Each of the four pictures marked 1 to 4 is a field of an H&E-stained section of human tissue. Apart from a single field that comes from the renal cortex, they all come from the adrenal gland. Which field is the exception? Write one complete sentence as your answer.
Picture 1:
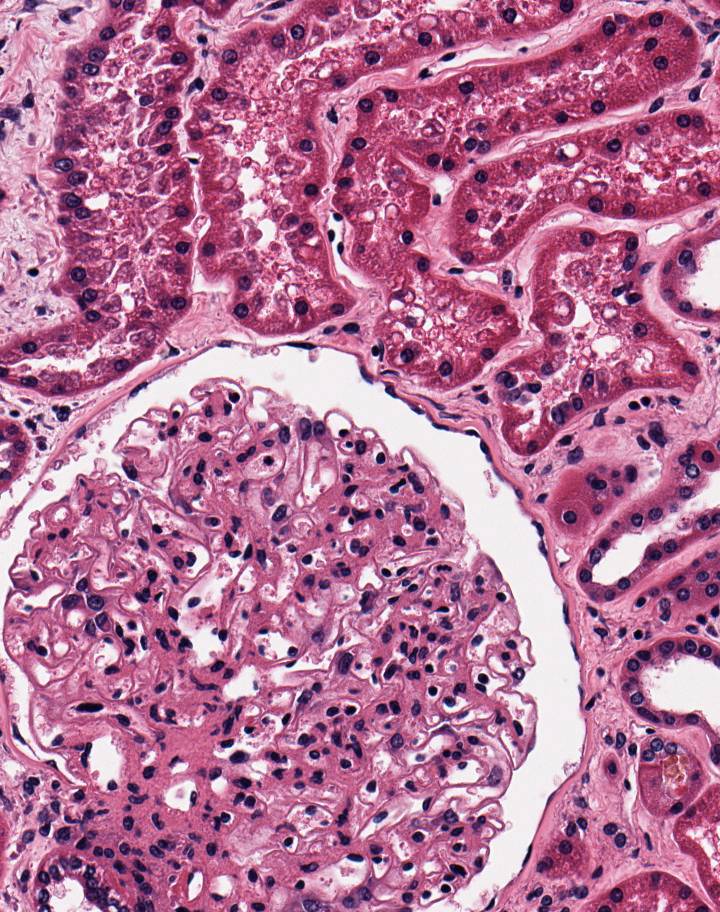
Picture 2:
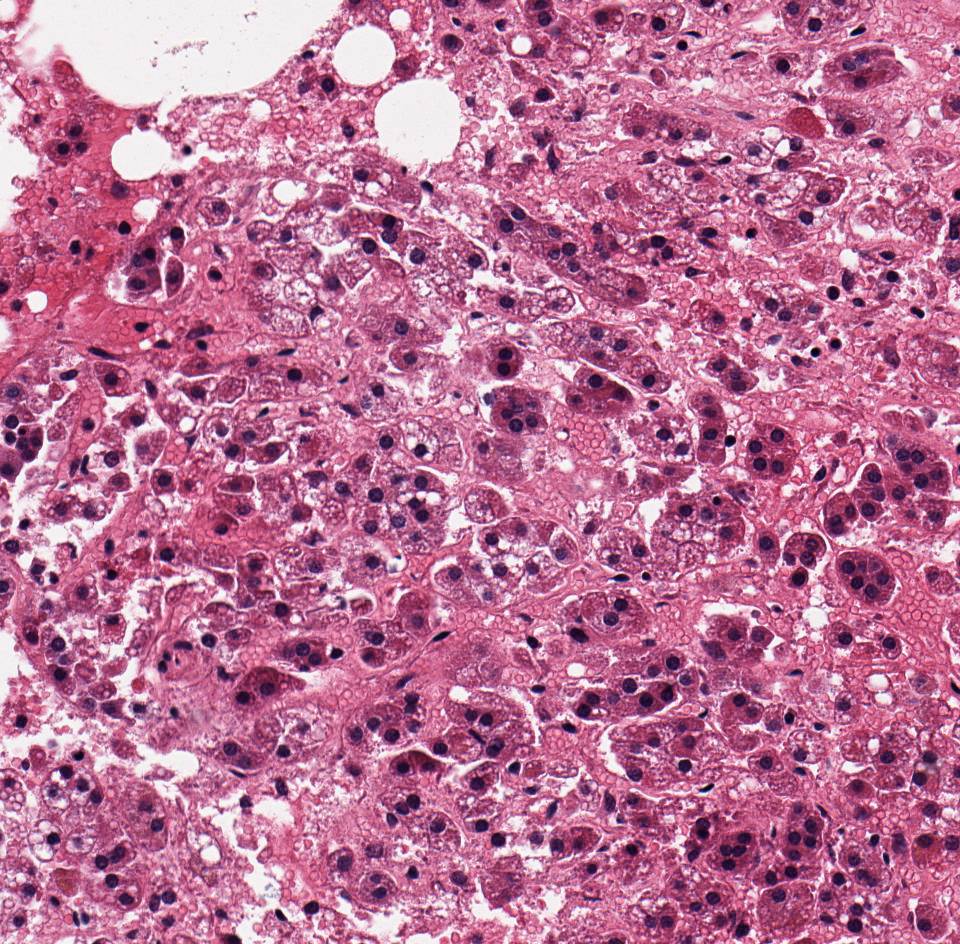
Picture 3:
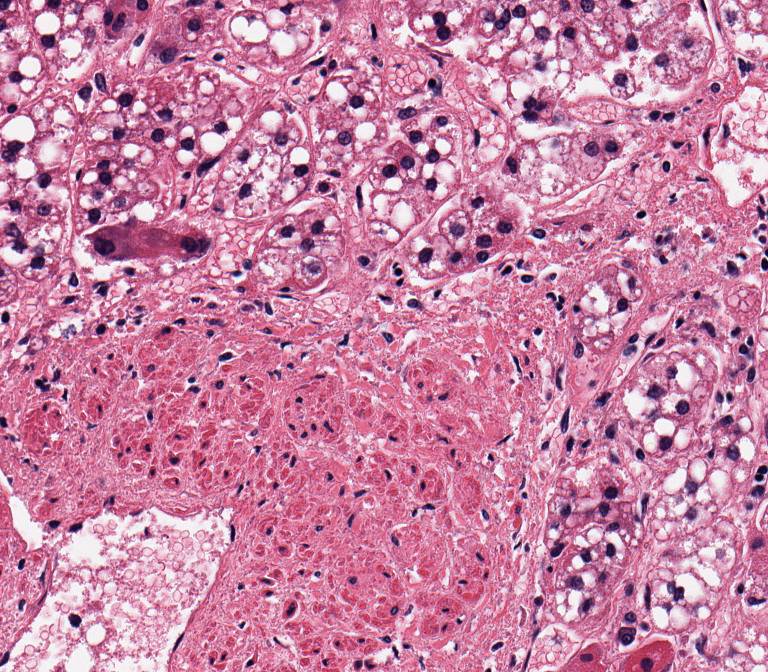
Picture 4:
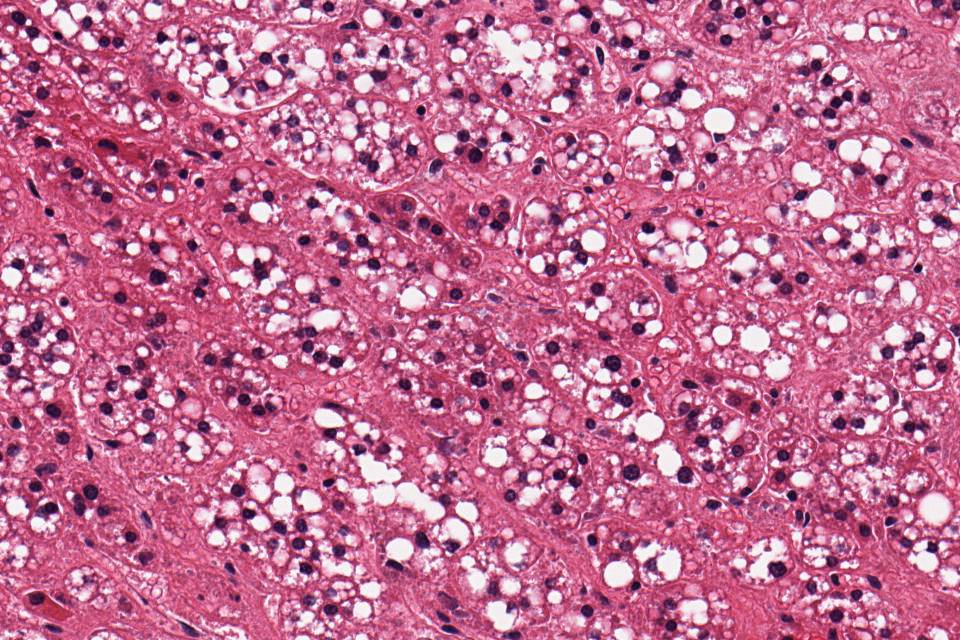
Picture 1 is the field that comes from the renal cortex.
